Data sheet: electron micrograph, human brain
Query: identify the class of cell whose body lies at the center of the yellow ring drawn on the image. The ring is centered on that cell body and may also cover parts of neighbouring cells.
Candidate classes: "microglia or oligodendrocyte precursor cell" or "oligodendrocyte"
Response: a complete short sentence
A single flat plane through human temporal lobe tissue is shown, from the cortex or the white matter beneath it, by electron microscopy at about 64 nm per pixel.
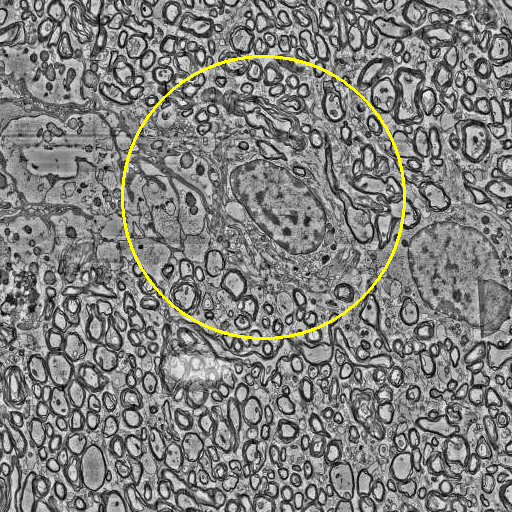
At the center of the ring lies a microglial cell or oligodendrocyte precursor cell.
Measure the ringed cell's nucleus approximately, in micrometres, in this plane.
About 7 by 4 micrometres in this plane.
